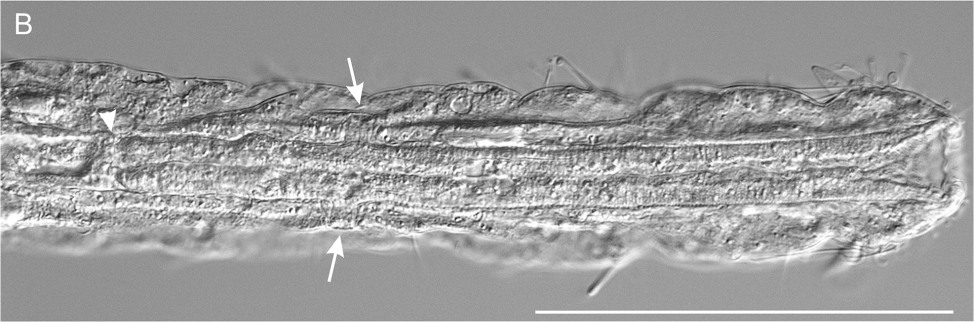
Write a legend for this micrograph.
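This is the anterior region of a small worm-like animal seen in optical section, with the pharynx running along its length. The pharynx is a long straight tube with a narrow central lumen and thick walls, extending from near the rounded front end backwards across most of the field. At its rear end the pharynx meets the intestine at a junction, behind which the internal texture changes. Small pores lie on the sides of the pharynx near the body wall. The body wall outside the pharynx is granular and slightly undulating, with a few hair-like cilia and tube-like projections standing out from the surface.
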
